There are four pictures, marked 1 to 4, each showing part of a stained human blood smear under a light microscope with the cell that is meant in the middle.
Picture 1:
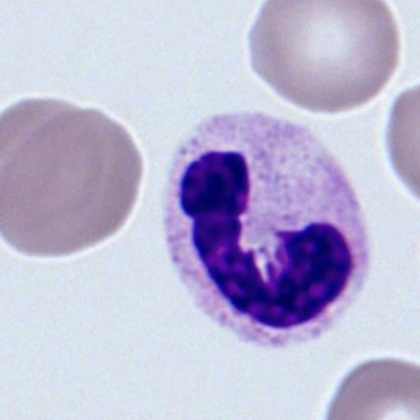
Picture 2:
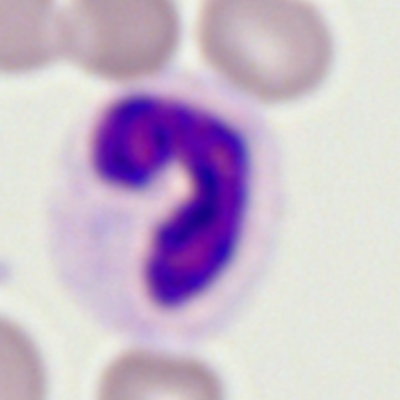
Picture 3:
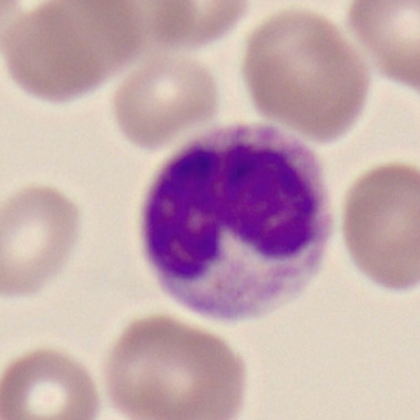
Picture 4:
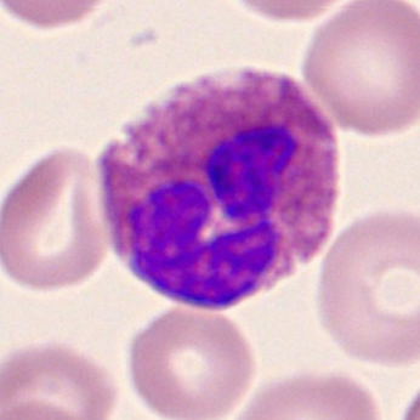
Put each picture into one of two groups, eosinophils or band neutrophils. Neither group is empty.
1: band neutrophil
2: band neutrophil
3: band neutrophil
4: eosinophil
